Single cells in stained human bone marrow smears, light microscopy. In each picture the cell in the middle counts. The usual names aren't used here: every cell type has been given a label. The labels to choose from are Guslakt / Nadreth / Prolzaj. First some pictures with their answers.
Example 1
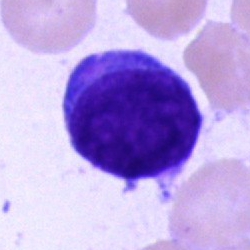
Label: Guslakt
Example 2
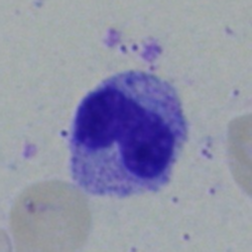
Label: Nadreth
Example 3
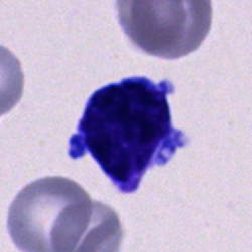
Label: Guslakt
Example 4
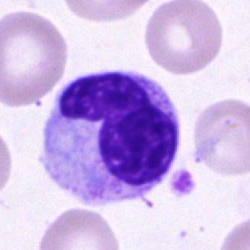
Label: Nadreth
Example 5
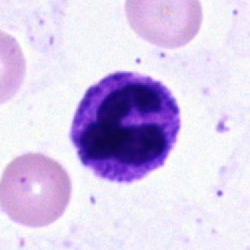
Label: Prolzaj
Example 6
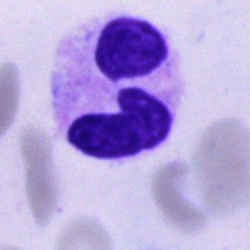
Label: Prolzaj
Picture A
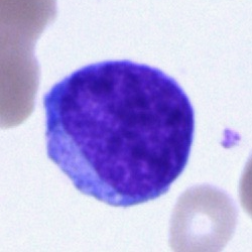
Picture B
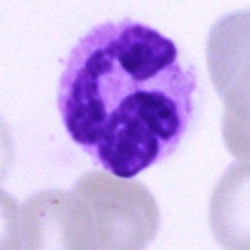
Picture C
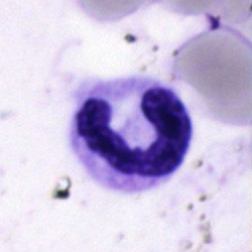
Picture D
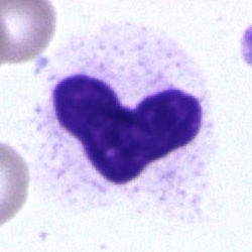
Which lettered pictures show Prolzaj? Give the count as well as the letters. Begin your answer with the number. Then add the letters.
2: B, C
